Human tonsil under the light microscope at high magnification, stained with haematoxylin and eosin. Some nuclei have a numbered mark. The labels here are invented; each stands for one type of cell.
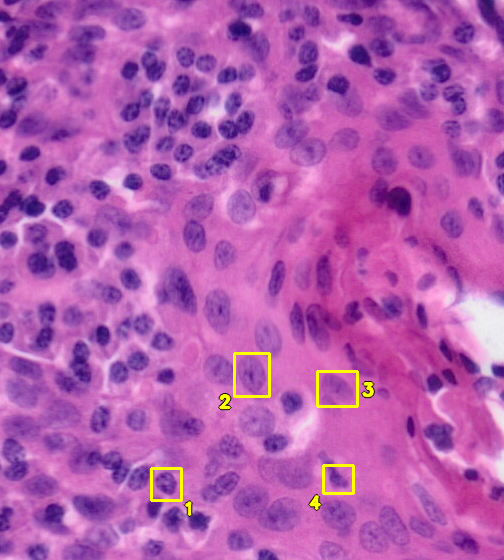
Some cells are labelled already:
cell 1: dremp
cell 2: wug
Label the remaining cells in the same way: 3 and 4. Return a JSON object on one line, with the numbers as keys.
{"3": "wug", "4": "wug"}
